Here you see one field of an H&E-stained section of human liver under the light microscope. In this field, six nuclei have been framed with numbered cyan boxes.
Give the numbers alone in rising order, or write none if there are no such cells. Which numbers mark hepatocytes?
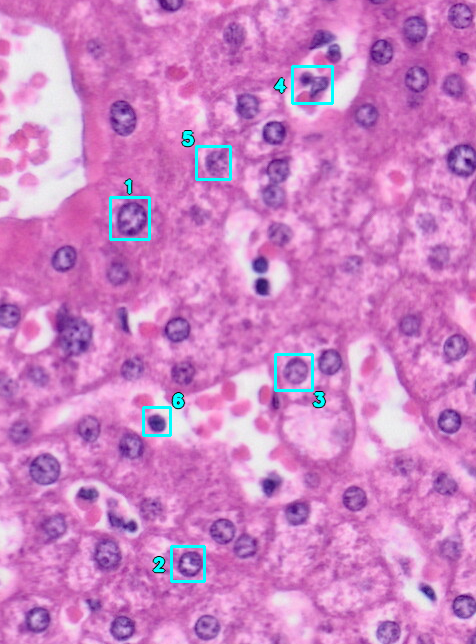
1, 2, 3, 5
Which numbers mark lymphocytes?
6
